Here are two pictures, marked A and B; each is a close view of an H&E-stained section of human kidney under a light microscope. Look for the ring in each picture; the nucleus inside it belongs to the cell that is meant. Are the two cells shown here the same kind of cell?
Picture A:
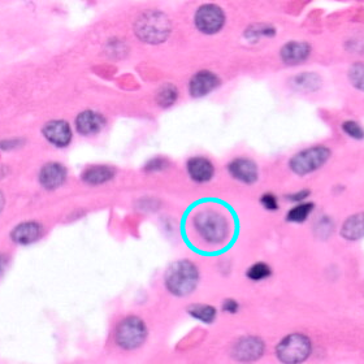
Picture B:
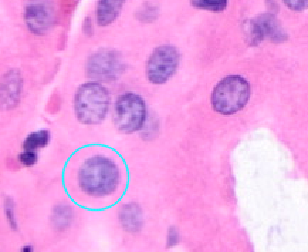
yes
